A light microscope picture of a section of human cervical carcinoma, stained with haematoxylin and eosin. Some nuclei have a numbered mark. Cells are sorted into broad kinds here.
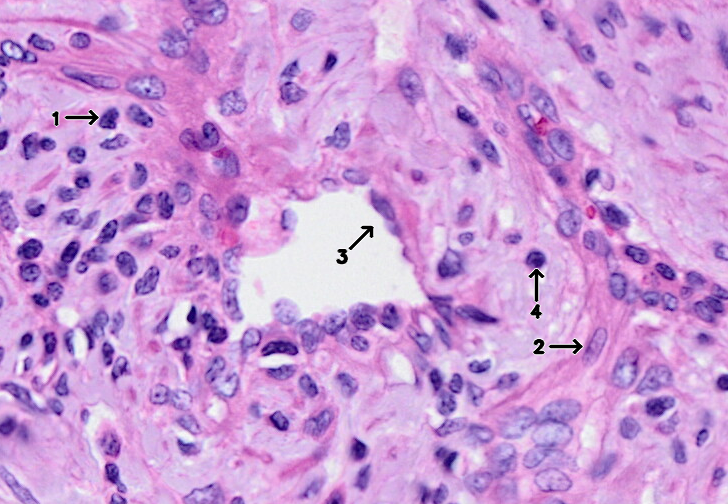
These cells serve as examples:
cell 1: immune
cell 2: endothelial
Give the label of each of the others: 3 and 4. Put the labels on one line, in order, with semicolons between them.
endothelial; immune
